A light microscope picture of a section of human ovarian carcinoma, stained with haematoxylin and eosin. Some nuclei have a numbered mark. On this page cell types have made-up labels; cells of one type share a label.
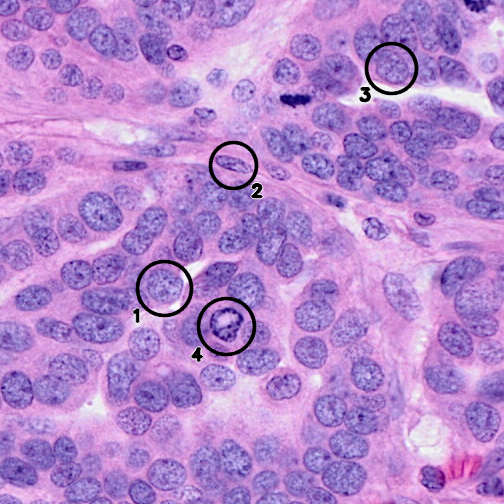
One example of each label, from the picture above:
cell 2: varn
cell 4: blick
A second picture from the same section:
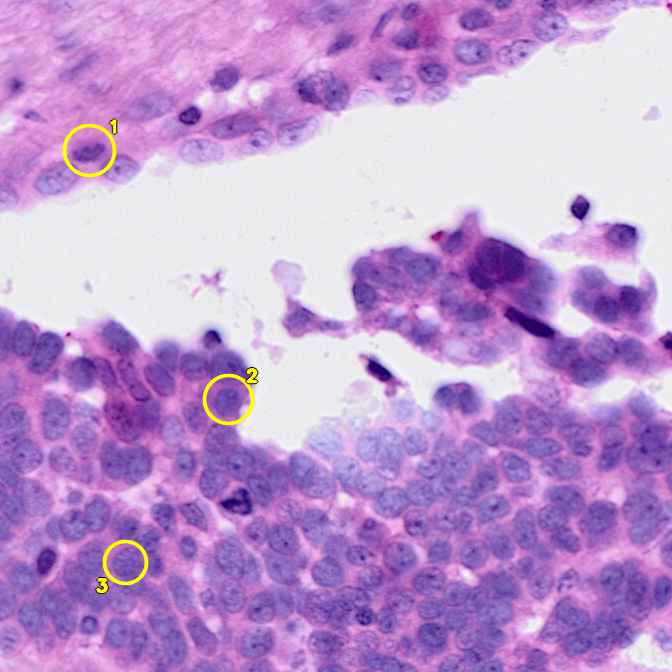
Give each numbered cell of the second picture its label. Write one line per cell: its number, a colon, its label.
1: varn
2: blick
3: blick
